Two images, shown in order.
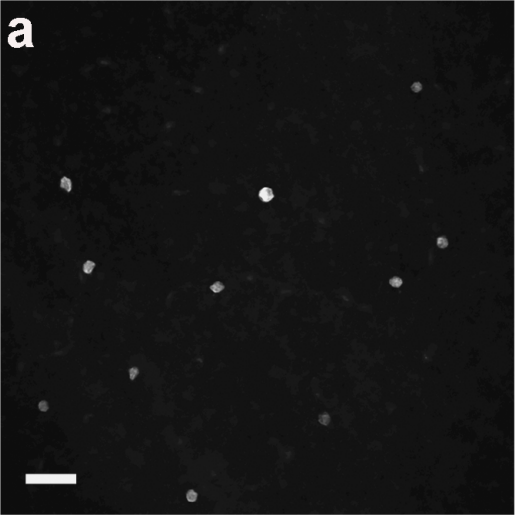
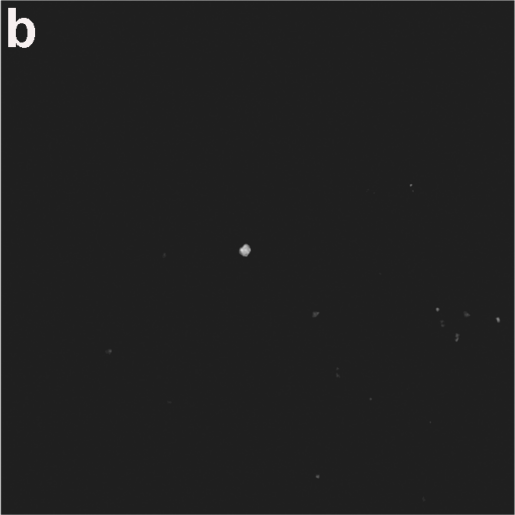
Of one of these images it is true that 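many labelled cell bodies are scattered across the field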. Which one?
The first image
